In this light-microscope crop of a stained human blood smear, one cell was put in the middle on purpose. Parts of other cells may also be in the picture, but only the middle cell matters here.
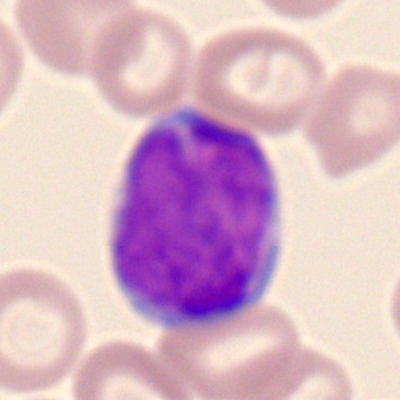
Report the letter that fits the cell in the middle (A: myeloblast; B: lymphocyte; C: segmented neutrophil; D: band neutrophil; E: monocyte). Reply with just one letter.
A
